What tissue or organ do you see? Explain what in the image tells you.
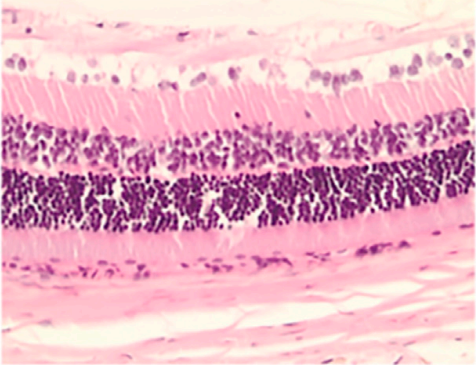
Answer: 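Stacked parallel layers alternating between pink fibrous bands and purple nuclear bands. A single sparse row of larger nuclei lies along one surface. Two bands of densely packed nuclei run through the middle. That points to this answer: retina.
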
